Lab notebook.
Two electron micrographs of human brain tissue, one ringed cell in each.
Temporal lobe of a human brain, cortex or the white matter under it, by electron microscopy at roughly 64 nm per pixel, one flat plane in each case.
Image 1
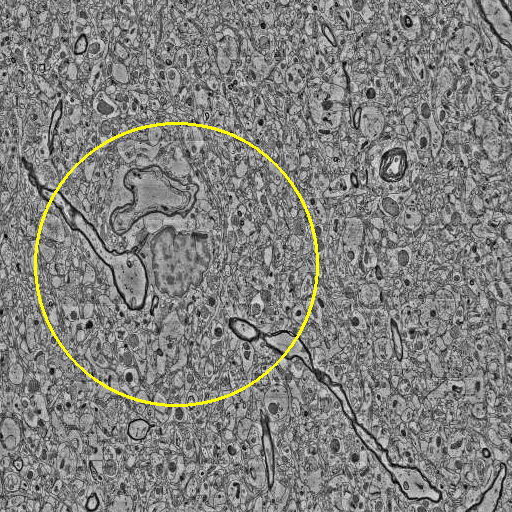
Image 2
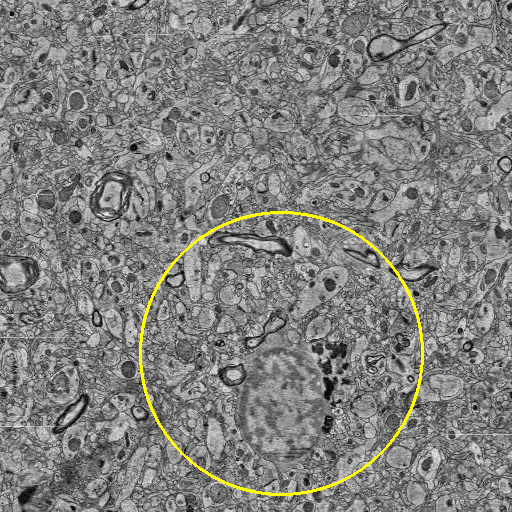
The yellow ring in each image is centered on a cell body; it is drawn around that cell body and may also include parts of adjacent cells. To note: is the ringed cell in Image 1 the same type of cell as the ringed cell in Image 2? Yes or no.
yes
